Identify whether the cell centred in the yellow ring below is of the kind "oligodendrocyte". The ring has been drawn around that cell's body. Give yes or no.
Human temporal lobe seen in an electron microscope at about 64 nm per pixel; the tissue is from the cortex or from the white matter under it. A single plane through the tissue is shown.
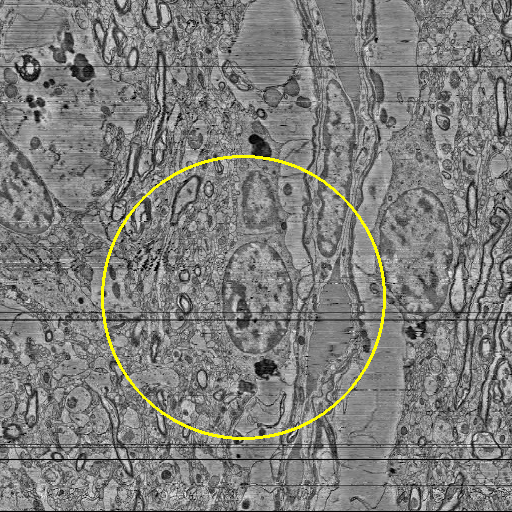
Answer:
yes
